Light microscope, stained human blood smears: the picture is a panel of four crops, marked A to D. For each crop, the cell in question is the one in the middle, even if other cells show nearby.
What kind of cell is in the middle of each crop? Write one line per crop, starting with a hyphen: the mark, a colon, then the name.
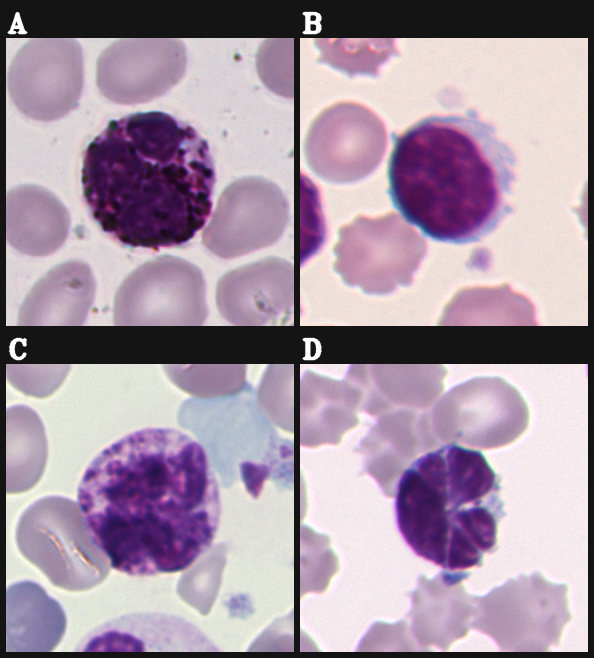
- A: basophil
- B: typical lymphocyte
- C: basophil
- D: typical lymphocyte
